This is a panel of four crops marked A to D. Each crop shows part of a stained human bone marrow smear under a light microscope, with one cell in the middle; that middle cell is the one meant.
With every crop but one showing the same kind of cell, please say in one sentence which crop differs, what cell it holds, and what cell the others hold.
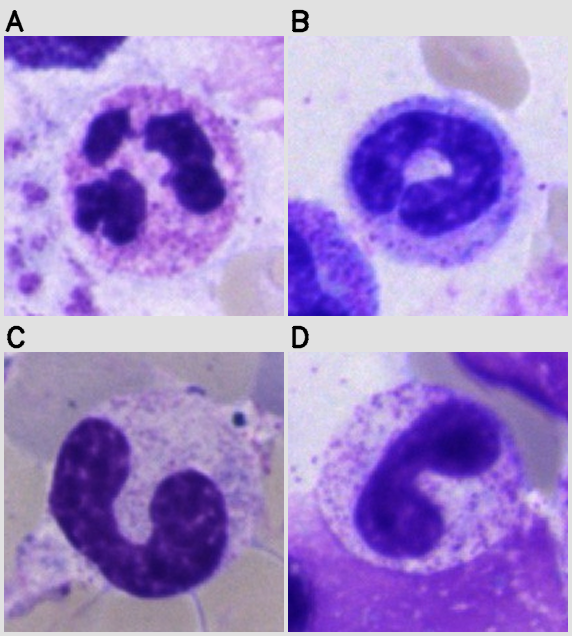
What sets crop A apart is that it is a segmented neutrophil; the others are all band neutrophils.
